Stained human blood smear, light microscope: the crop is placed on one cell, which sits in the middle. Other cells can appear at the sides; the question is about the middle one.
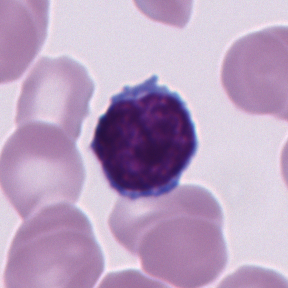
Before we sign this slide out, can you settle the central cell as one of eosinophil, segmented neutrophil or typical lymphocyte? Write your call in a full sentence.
This particular crop is centered on a typical lymphocyte.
